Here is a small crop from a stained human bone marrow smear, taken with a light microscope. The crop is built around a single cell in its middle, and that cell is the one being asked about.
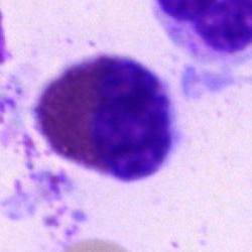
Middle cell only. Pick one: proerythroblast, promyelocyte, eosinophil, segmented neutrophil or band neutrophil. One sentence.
By type, the central cell of the crop is an eosinophil.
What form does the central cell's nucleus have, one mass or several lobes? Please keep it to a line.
The nucleus is one compact mass, round, oval or kidney-shaped in outline.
